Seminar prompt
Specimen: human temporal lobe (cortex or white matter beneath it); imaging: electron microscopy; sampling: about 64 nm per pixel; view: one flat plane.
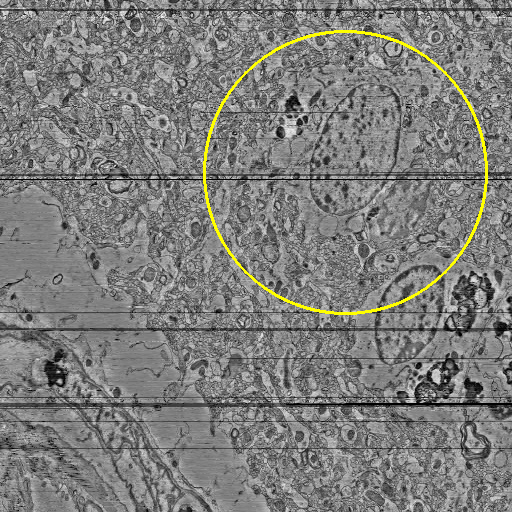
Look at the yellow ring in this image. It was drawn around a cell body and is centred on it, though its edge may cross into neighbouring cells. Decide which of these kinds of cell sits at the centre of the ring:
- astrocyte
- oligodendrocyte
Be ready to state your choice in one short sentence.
The kind of cell at the ring's centre is an astrocyte.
